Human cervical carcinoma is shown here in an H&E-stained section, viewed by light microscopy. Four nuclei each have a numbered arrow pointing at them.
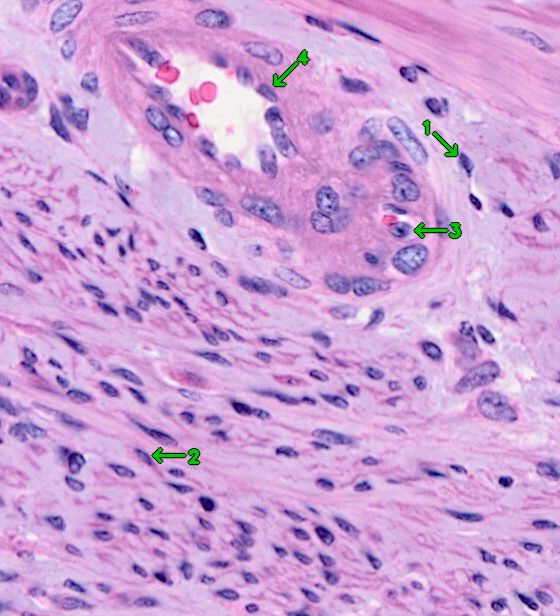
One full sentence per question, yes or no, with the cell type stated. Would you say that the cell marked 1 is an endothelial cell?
No, in terms of cell type, cell 1 is a fibroblast, not an endothelial cell.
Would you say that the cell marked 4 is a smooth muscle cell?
No, the cell under number 4 is an endothelial cell instead of a smooth muscle cell.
